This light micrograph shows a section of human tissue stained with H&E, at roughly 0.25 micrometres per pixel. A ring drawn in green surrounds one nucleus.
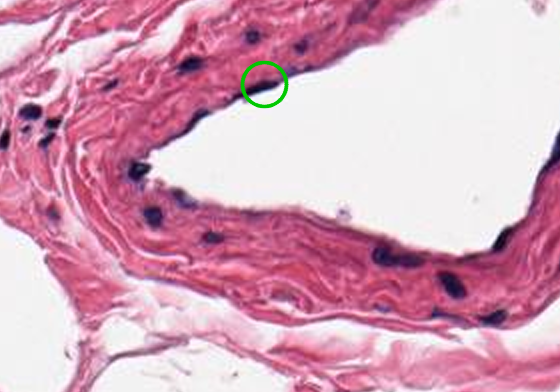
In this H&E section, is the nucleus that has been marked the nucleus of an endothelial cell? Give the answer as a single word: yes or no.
yes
